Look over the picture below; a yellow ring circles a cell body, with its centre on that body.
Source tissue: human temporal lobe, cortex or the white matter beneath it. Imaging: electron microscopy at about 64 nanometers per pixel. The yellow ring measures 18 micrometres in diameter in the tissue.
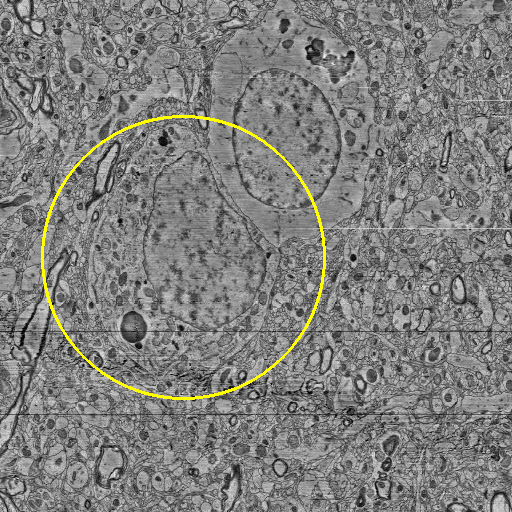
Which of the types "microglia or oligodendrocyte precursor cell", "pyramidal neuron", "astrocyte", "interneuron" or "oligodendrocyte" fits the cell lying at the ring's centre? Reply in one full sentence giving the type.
The picture shows an interneuron at the centre of the yellow ring.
